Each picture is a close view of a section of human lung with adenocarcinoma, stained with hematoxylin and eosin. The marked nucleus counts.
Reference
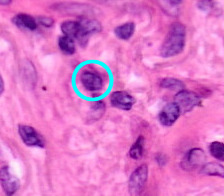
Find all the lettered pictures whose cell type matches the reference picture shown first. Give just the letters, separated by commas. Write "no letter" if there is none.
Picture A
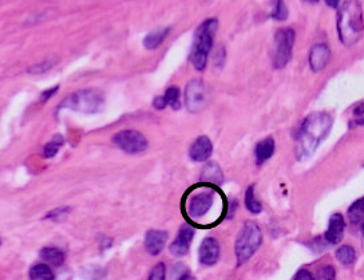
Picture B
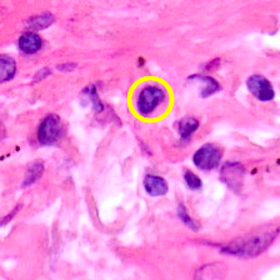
B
